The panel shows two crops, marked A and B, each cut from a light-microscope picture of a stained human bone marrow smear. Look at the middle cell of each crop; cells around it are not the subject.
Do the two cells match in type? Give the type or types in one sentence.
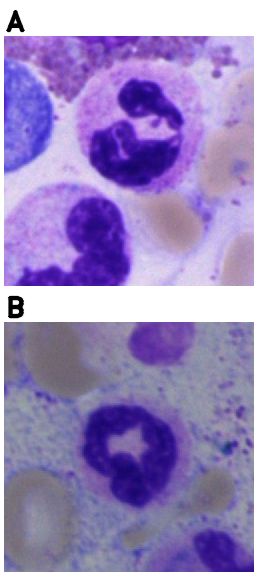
Yes, the centred cells are segmented neutrophils in both crops.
